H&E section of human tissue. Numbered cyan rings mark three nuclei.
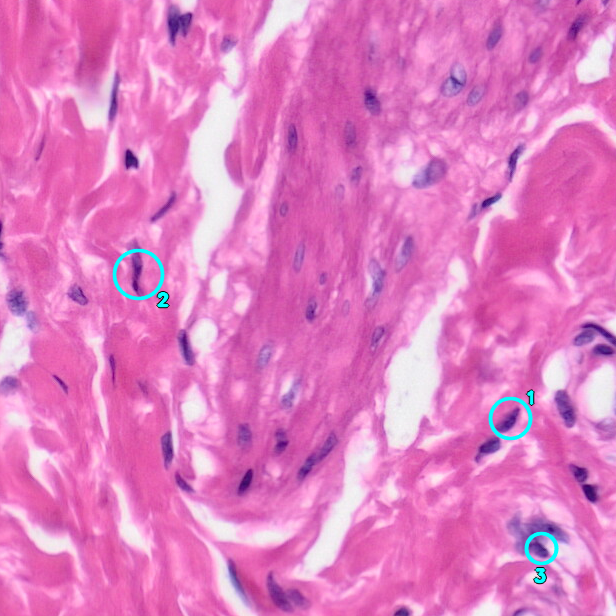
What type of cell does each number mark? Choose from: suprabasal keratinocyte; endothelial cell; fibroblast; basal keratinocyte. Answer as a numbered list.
1. fibroblast
2. fibroblast
3. endothelial cell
